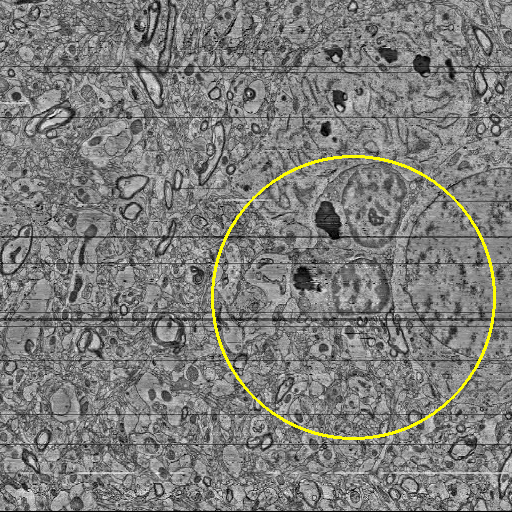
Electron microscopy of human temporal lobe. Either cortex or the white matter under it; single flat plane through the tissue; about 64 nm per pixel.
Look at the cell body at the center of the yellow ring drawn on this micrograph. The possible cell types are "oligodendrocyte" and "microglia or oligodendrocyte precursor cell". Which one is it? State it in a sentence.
The cell in the middle of the ring is an oligodendrocyte.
